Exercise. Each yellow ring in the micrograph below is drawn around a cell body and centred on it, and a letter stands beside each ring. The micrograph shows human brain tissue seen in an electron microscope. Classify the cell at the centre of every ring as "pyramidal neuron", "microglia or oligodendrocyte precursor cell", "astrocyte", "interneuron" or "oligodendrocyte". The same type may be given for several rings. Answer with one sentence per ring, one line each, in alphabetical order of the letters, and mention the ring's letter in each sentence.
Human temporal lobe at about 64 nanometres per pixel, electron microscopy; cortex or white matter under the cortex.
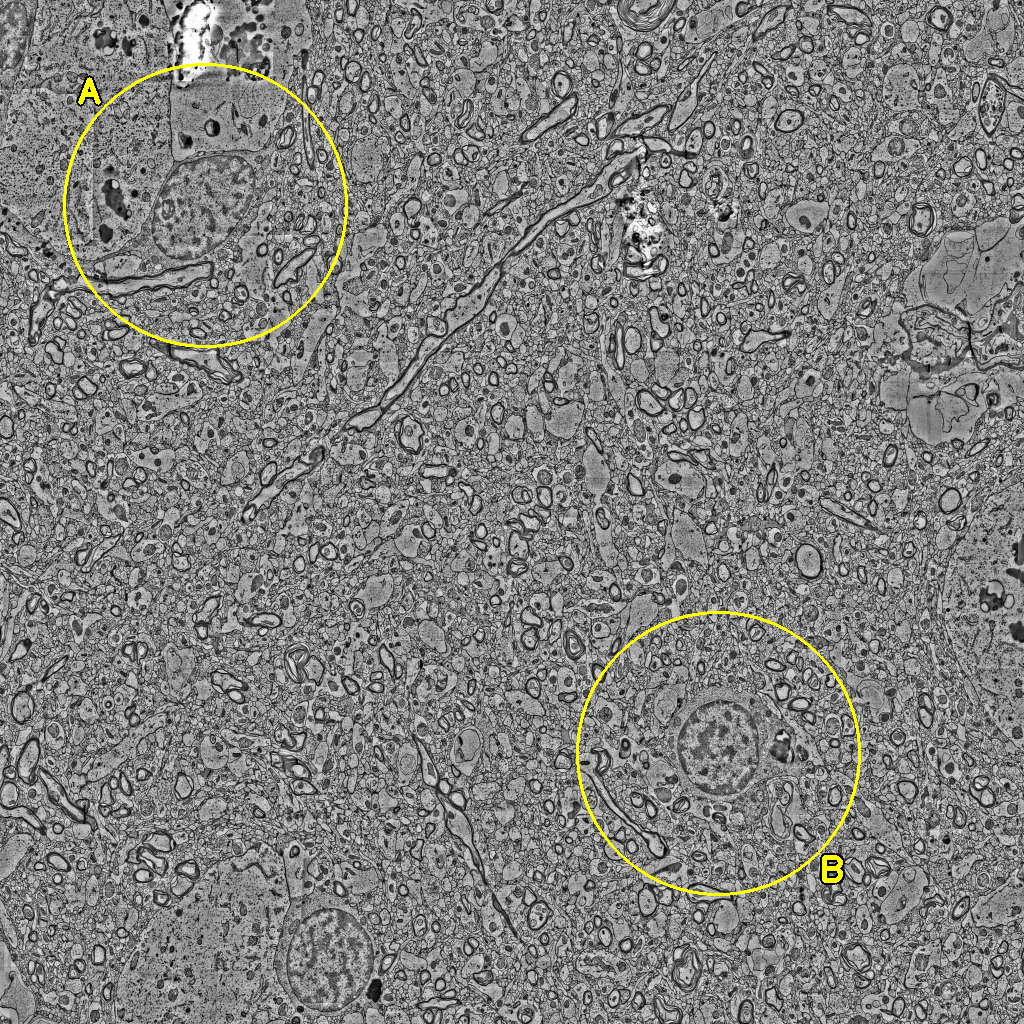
In ring A, the central cell is an oligodendrocyte.
In ring B, the central cell is an oligodendrocyte.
